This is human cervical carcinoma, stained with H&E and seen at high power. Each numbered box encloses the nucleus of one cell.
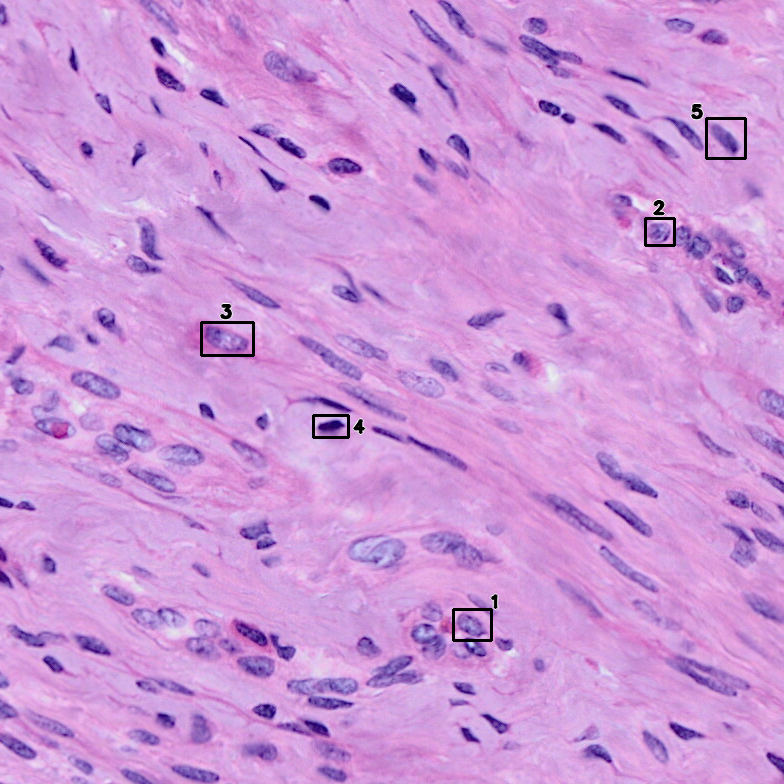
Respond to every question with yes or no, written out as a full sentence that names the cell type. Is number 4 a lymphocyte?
Yes, regarding cell number 4, it is a lymphocyte.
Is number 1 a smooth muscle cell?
No, the cell labelled number 1 is not a smooth muscle cell; it is an endothelial cell.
